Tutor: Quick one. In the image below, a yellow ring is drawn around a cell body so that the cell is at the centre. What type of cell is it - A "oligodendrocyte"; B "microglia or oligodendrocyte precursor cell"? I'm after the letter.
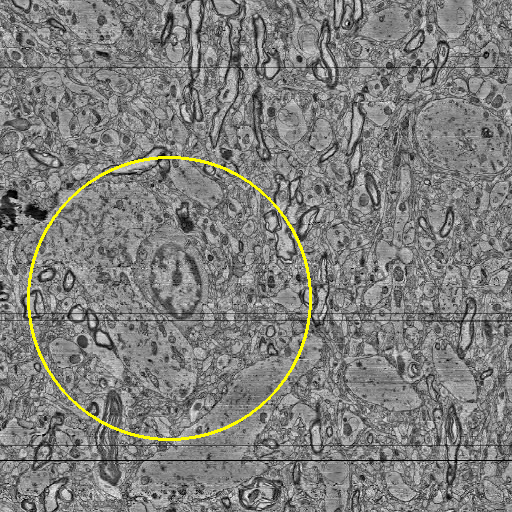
A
